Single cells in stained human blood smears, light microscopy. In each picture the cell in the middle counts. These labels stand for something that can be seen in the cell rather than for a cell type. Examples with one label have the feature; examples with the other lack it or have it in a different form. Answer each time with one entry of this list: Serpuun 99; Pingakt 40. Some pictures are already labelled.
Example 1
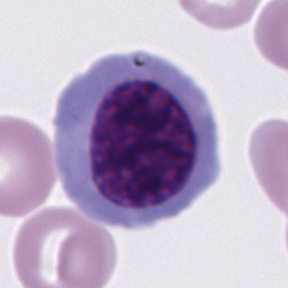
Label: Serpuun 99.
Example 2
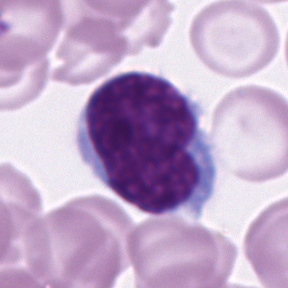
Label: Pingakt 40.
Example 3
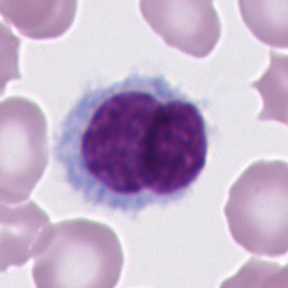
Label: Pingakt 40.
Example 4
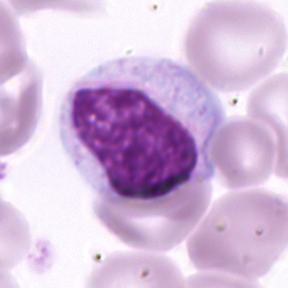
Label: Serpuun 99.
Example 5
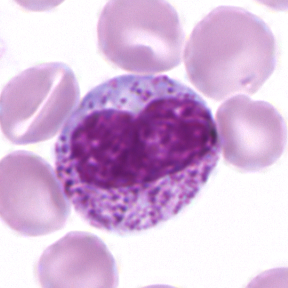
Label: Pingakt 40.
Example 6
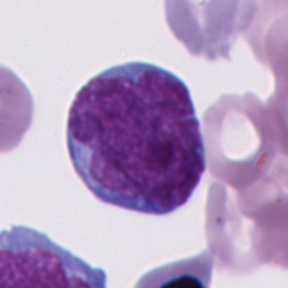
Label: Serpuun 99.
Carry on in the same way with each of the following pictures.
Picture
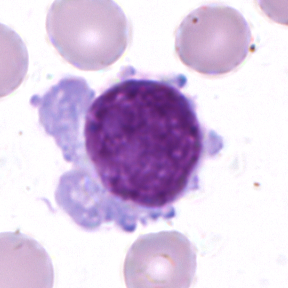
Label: Serpuun 99.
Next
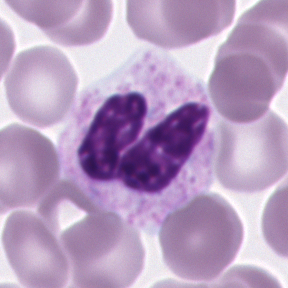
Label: Pingakt 40.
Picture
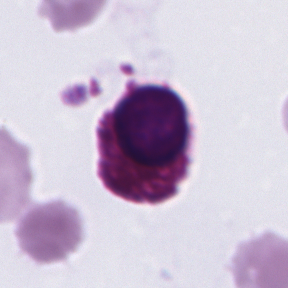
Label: Serpuun 99.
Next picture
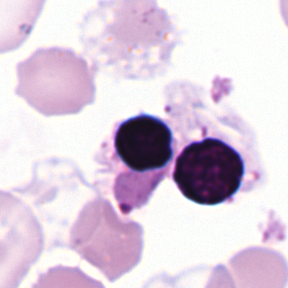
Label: Serpuun 99.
